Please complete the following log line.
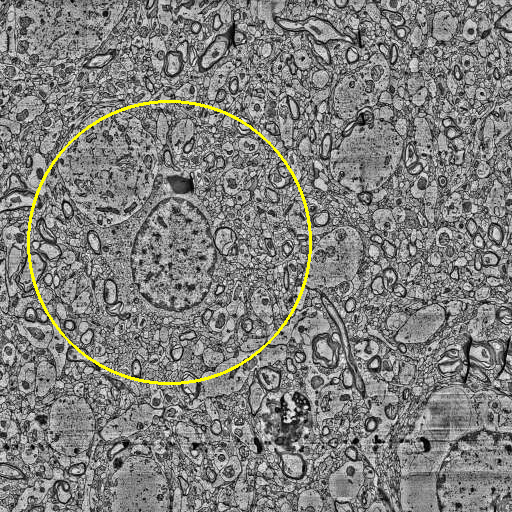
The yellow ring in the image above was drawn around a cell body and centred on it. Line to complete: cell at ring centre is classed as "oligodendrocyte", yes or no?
yes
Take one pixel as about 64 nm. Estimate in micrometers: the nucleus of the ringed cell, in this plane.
About 7 by 6 micrometres in this plane.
